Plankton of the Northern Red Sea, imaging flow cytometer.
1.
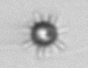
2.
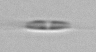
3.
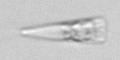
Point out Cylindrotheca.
That is picture 2.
